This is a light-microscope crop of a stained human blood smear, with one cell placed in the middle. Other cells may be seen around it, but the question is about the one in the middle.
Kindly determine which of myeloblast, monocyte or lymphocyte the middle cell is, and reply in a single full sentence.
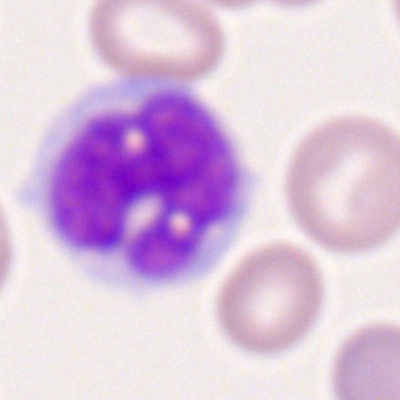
The middle cell in this particular crop is a monocyte.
